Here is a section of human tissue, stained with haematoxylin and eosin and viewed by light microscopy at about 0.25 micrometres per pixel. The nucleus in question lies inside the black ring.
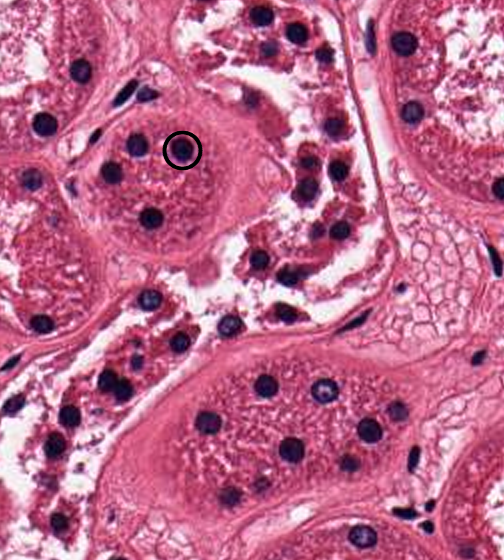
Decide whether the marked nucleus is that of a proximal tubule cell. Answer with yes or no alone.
yes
